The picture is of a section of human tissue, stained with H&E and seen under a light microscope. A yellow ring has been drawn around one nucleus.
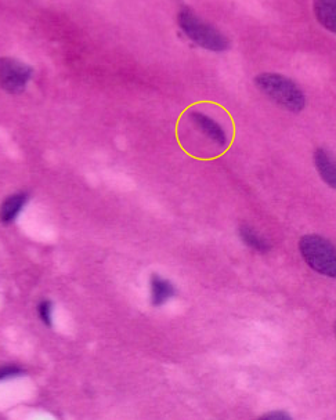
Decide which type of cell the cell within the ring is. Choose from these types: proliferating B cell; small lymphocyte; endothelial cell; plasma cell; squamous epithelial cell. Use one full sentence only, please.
The correct response here is that the cell within the ring is a squamous epithelial cell.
